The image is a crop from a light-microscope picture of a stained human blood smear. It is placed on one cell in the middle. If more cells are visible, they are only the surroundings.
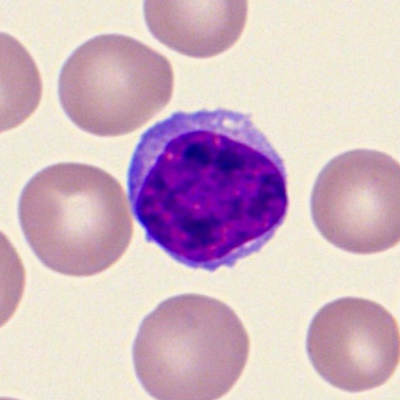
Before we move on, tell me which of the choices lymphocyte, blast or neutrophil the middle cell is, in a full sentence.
The centrally located cell in the crop is a lymphocyte.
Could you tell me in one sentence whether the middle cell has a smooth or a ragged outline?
This cell does not have a smooth edge; it is ragged or extended into projections.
